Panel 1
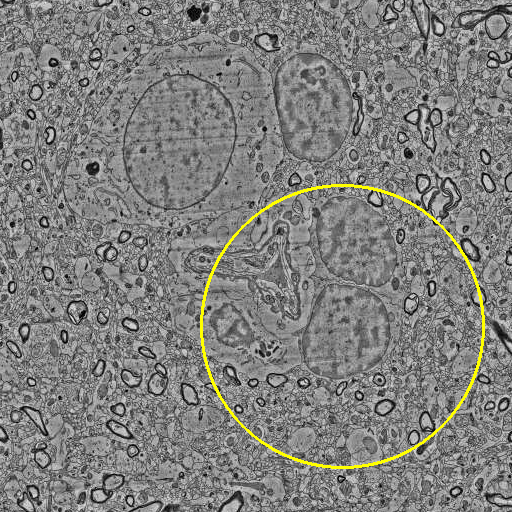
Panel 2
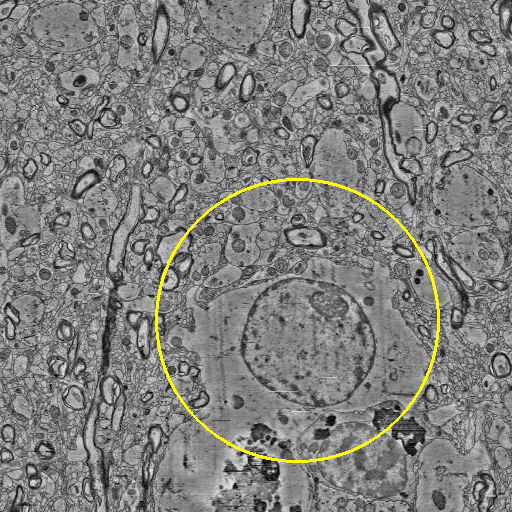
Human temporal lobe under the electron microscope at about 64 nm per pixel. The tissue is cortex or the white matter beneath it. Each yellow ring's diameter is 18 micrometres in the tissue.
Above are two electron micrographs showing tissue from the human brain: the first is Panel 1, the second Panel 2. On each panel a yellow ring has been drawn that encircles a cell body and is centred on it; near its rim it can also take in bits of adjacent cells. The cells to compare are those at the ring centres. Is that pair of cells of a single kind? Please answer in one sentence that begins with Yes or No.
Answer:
No, the ring-centred cells of Panel 1 and Panel 2 belong to two kinds.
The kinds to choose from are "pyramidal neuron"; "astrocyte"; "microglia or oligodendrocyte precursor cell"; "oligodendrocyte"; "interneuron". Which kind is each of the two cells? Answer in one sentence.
Of the two, the first cell is an oligodendrocyte and the second cell is an astrocyte.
